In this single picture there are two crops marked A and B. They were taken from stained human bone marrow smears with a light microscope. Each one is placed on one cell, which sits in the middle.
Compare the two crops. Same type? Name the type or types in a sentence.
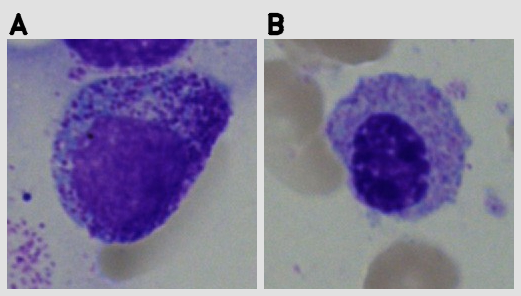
Yes, it is myelocytes that both crops show.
